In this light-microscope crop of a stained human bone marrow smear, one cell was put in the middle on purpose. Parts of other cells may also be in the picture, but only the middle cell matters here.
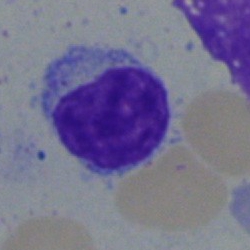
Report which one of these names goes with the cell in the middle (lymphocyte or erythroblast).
lymphocyte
